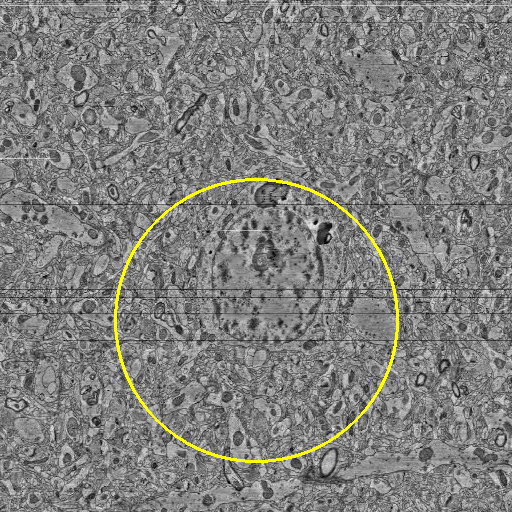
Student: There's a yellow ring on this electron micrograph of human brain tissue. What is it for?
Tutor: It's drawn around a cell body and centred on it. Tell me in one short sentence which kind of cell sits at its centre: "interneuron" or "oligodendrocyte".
The cell at the centre of the ring is an interneuron.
